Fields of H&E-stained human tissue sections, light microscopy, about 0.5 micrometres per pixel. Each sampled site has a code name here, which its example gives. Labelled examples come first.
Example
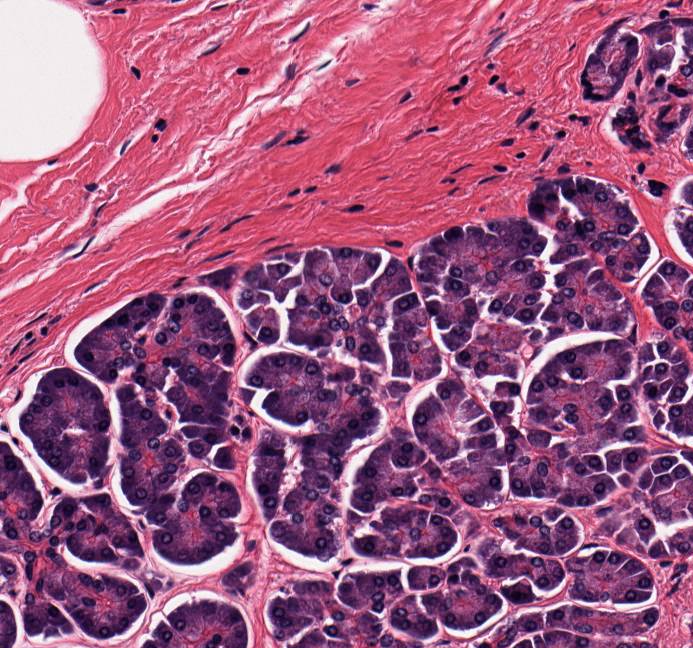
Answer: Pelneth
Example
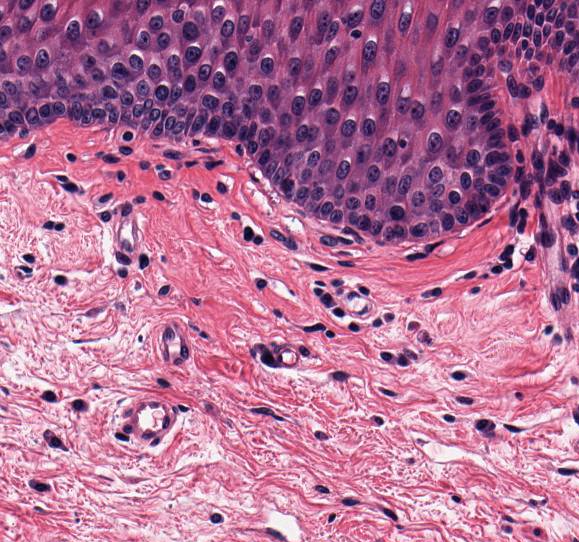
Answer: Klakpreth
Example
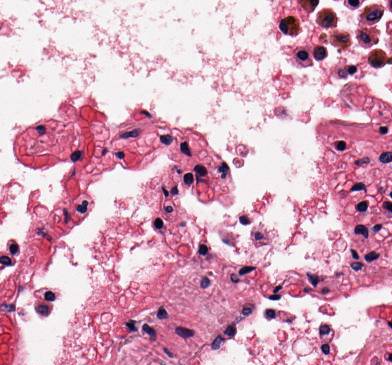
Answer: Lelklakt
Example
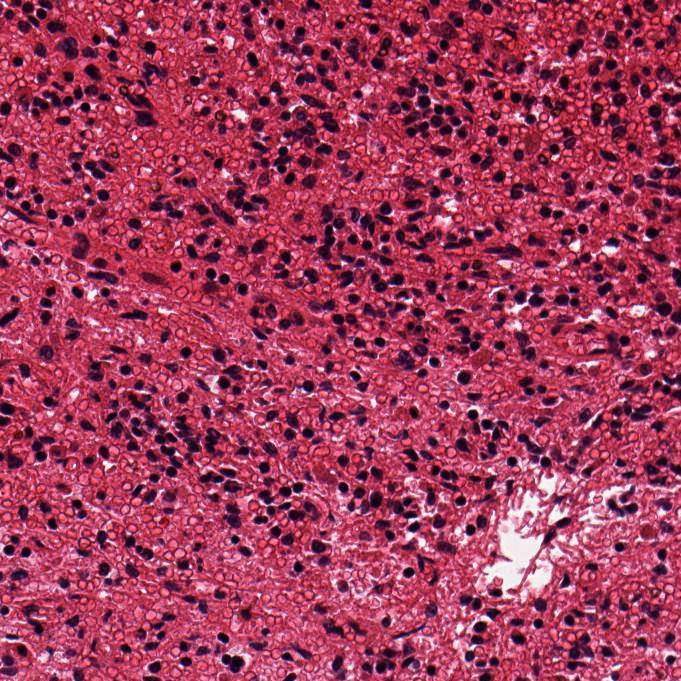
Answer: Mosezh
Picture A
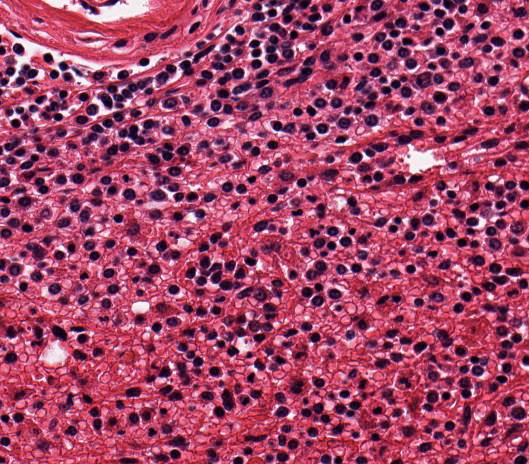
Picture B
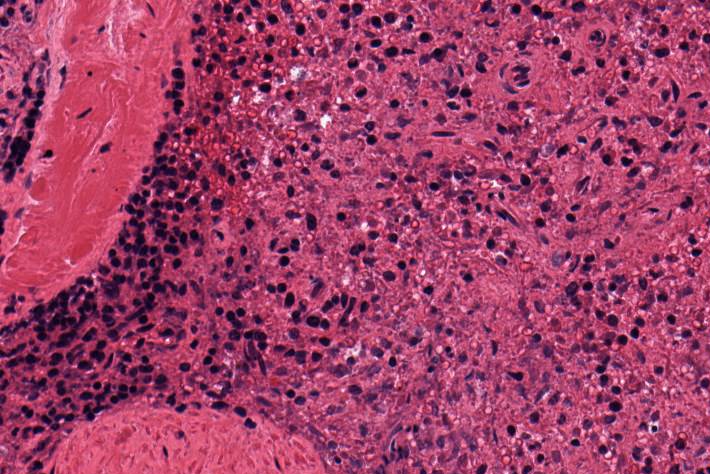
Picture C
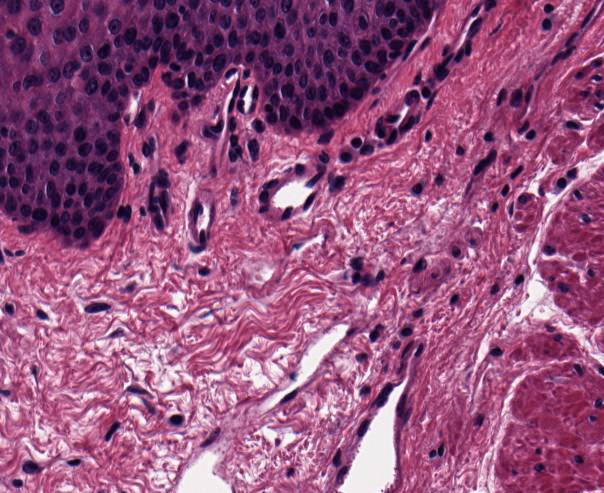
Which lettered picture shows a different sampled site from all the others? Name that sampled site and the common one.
Exception: C, showing Klakpreth. Remaining pictures: Mosezh.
